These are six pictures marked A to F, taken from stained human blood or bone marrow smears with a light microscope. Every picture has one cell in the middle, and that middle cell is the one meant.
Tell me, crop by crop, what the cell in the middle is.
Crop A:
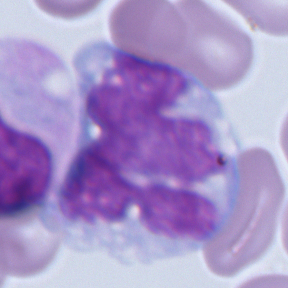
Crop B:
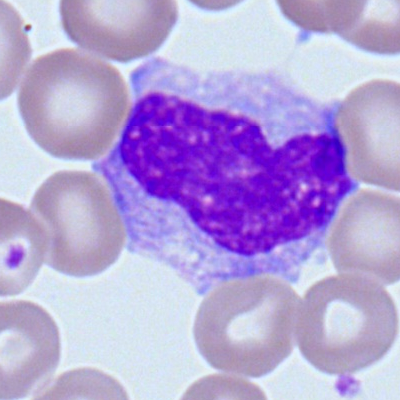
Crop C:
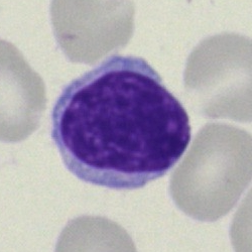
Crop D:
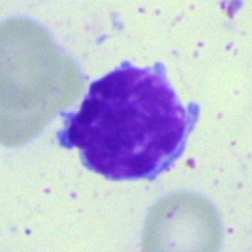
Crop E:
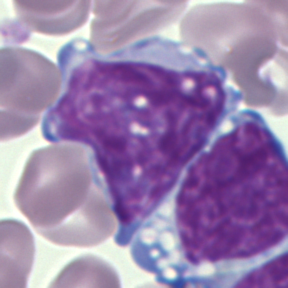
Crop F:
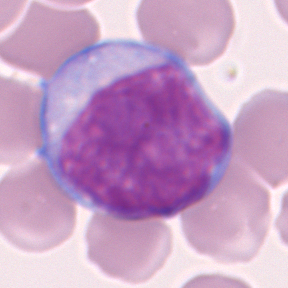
A: monocyte
B: monocyte
C: lymphocyte
D: lymphocyte
E: blast
F: blast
